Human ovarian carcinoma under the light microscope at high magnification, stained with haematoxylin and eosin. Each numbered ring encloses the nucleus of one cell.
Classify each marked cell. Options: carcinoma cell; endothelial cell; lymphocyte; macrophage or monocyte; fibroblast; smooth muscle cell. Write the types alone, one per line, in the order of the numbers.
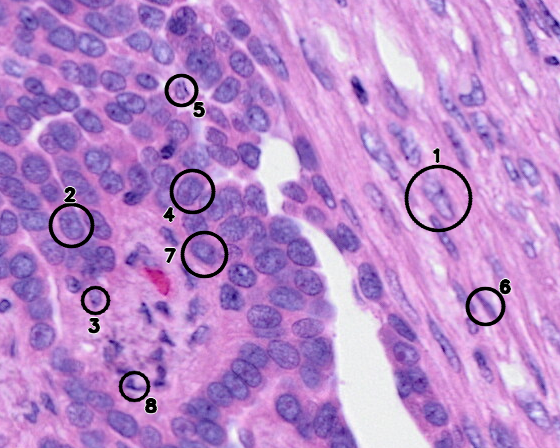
fibroblast
carcinoma cell
fibroblast
carcinoma cell
macrophage or monocyte
fibroblast
carcinoma cell
fibroblast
